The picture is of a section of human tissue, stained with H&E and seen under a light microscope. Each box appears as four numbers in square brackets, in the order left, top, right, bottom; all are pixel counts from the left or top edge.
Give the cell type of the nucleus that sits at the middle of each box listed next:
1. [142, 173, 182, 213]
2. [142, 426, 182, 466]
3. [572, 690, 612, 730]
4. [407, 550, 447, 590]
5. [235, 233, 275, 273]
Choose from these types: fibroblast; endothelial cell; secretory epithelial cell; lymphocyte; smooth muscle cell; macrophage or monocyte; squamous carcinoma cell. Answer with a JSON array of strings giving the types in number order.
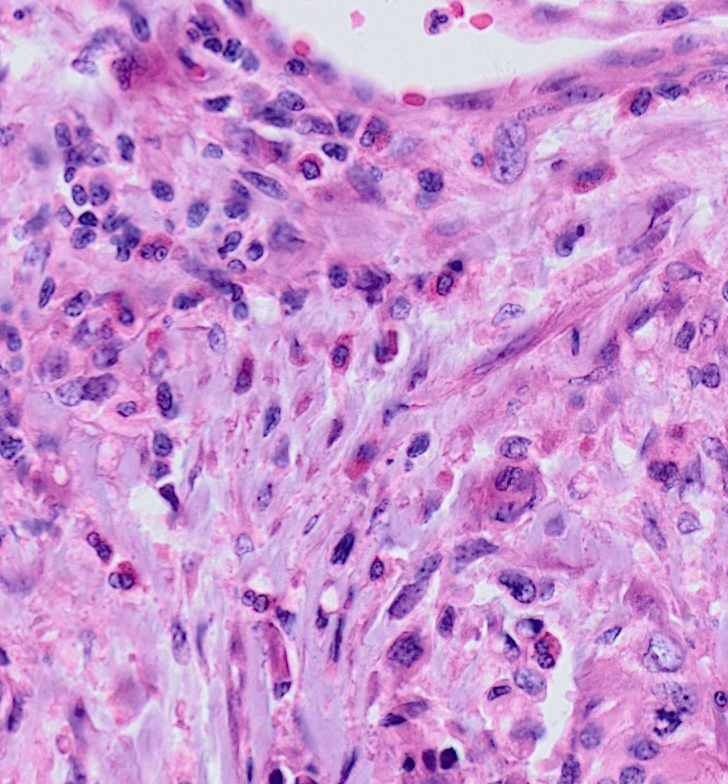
["lymphocyte", "lymphocyte", "squamous carcinoma cell", "macrophage or monocyte", "lymphocyte"]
